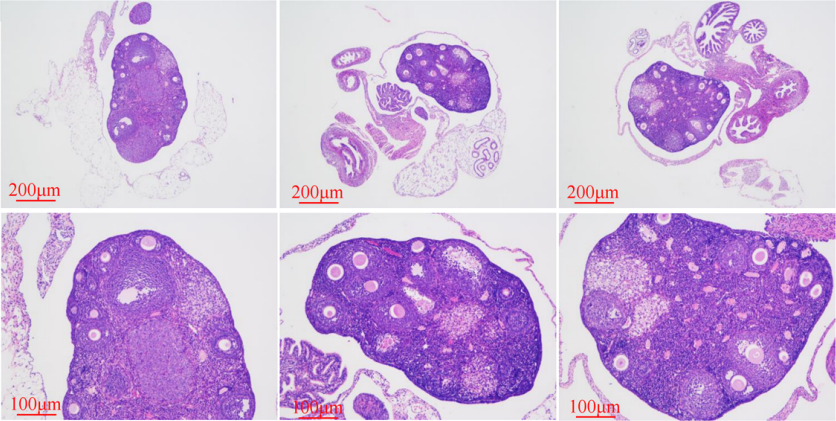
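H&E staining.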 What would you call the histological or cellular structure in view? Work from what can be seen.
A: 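Follicles at various stages of development. Small follicles with a single oocyte surrounded by few granulosa cells. Larger follicles with several granulosa cell layers and a pale zona around the oocyte. Some follicles contain a fluid-filled cavity.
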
